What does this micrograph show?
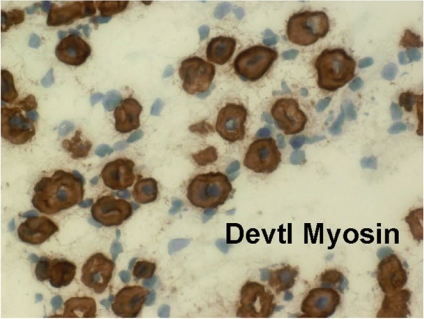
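Fibres are of fairly uniform small size and lie singly or in loose groups, not tightly packed. Between them lies pale, unstained loose tissue with scattered small blue, oval to elongated nuclei and faint fibrillar material.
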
